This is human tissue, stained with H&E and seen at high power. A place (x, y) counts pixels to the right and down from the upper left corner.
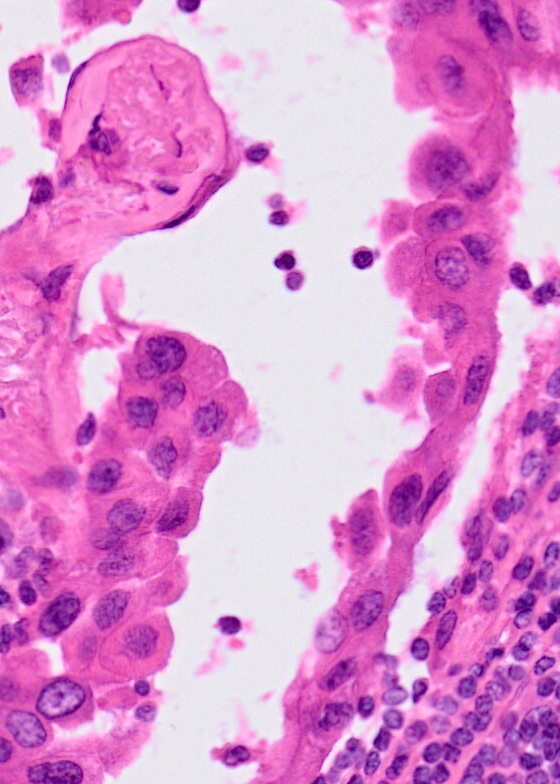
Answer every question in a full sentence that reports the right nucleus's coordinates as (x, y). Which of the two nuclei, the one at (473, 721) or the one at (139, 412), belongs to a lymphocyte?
The member of the pair belonging to a lymphocyte is the nucleus at (473, 721).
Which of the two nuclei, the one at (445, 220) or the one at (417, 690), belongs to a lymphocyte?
Of these two nuclei, it is the one at (417, 690) that belongs to a lymphocyte.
